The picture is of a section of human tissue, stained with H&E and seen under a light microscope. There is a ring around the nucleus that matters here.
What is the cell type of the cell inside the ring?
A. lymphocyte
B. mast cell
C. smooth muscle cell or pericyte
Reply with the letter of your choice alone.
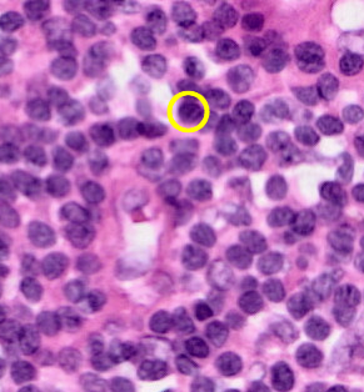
A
